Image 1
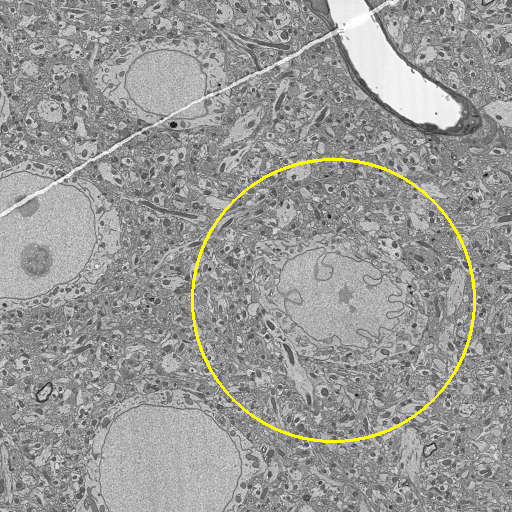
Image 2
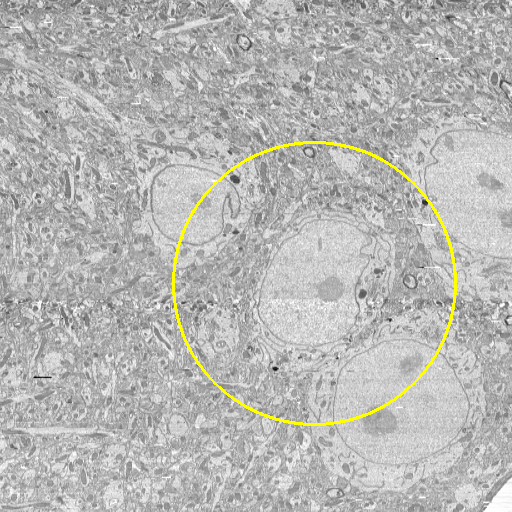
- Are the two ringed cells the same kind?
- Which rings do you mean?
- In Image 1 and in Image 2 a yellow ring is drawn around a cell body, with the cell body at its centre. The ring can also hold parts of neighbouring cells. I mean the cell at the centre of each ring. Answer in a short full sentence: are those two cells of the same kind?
Yes, both cells are of the same kind.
